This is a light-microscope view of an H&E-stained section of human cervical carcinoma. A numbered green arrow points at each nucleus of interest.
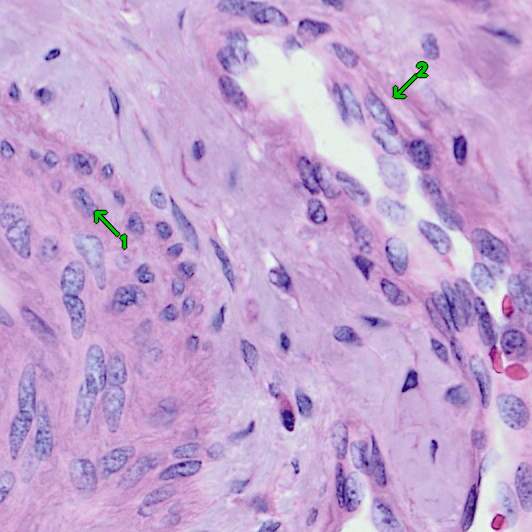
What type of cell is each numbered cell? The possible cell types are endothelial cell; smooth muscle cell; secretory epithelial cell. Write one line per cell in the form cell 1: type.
cell 1: smooth muscle cell
cell 2: endothelial cell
